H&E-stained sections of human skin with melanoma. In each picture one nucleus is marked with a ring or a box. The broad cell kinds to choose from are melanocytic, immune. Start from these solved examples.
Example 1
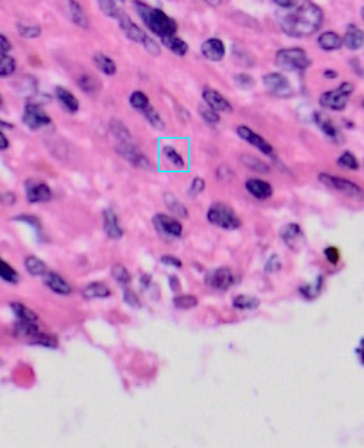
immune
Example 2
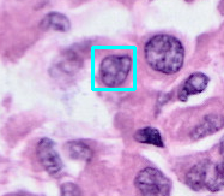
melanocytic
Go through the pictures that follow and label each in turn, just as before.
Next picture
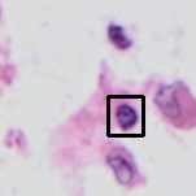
immune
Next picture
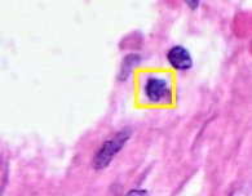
immune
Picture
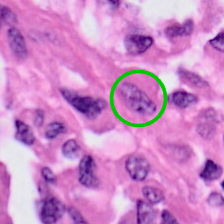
melanocytic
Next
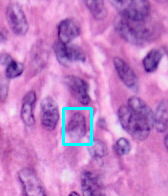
melanocytic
